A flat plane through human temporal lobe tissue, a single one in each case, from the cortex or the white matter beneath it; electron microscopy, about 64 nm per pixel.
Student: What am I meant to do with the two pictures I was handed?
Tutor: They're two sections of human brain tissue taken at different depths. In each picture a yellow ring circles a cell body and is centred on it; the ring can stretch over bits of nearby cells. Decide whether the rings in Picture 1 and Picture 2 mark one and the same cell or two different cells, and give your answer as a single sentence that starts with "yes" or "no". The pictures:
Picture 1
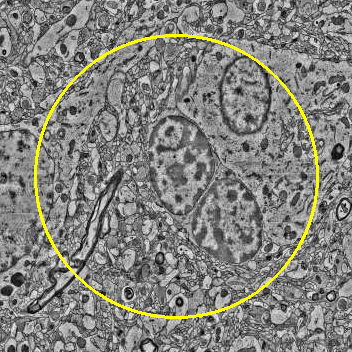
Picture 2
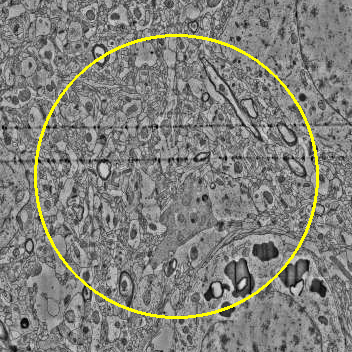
No, each of the two rings holds a different cell.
